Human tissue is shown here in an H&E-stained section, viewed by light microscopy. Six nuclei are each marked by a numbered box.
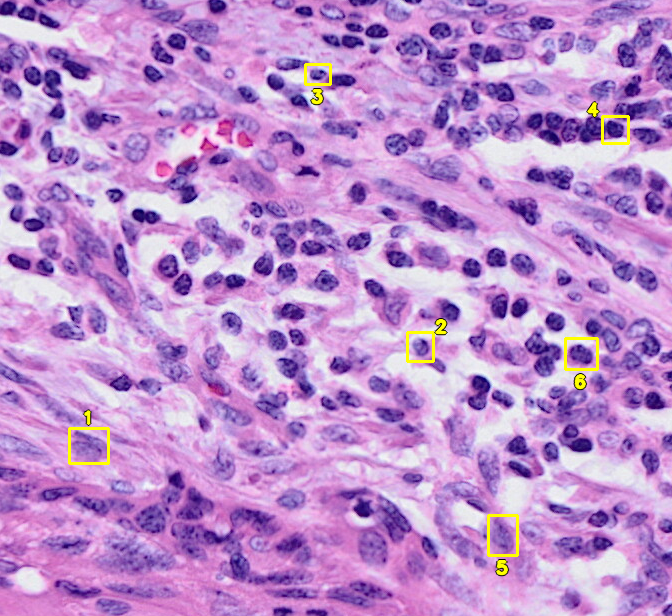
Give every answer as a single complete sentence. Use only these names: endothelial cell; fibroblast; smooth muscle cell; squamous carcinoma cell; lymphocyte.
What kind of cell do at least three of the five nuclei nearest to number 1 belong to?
Of the five nuclei nearest to number 1, most belong to fibroblasts.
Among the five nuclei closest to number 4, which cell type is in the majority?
Of the five nuclei nearest to number 4, most belong to lymphocytes.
